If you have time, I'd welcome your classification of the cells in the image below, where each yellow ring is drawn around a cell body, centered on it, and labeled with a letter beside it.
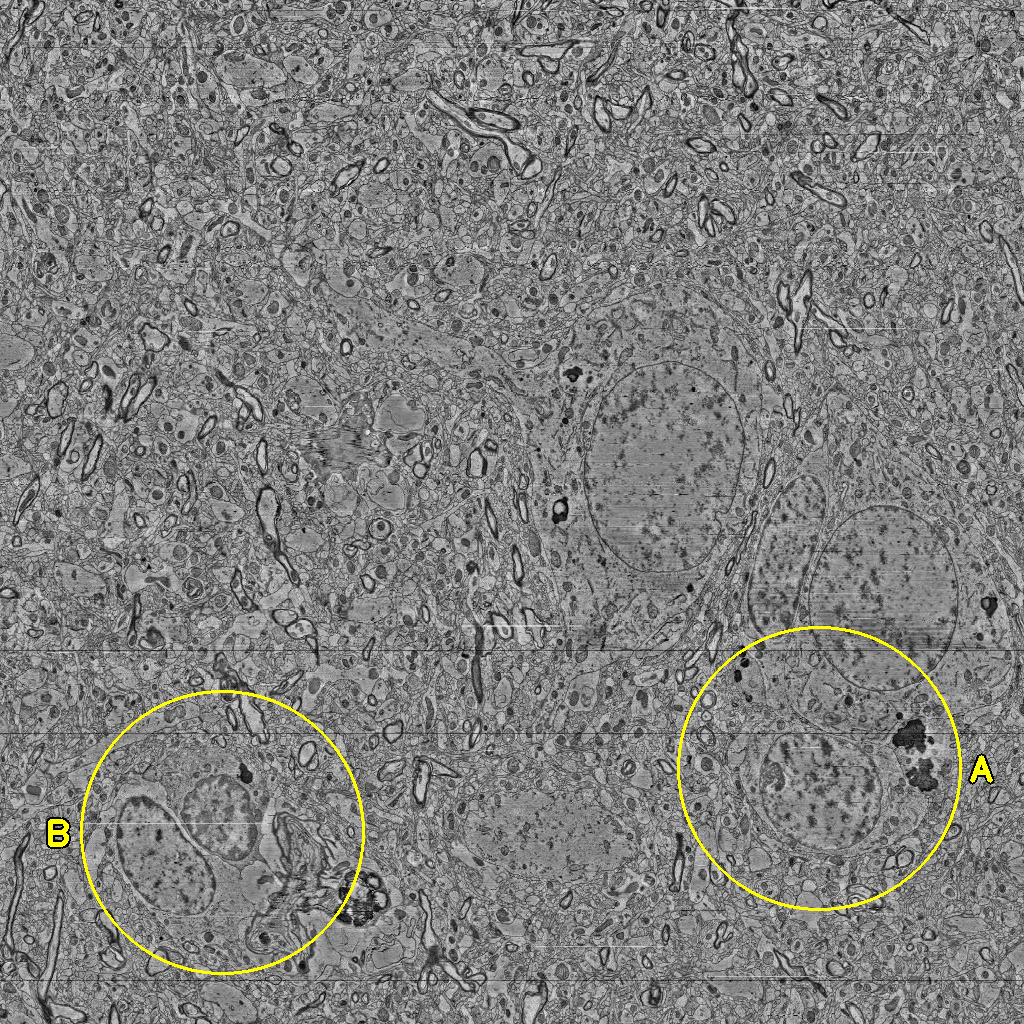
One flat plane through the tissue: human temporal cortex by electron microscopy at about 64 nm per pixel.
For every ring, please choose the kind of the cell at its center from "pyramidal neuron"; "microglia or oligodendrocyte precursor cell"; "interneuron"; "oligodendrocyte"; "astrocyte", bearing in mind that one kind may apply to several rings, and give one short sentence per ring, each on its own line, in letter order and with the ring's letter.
At the center of ring A is an interneuron.
At the center of ring B is an oligodendrocyte.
